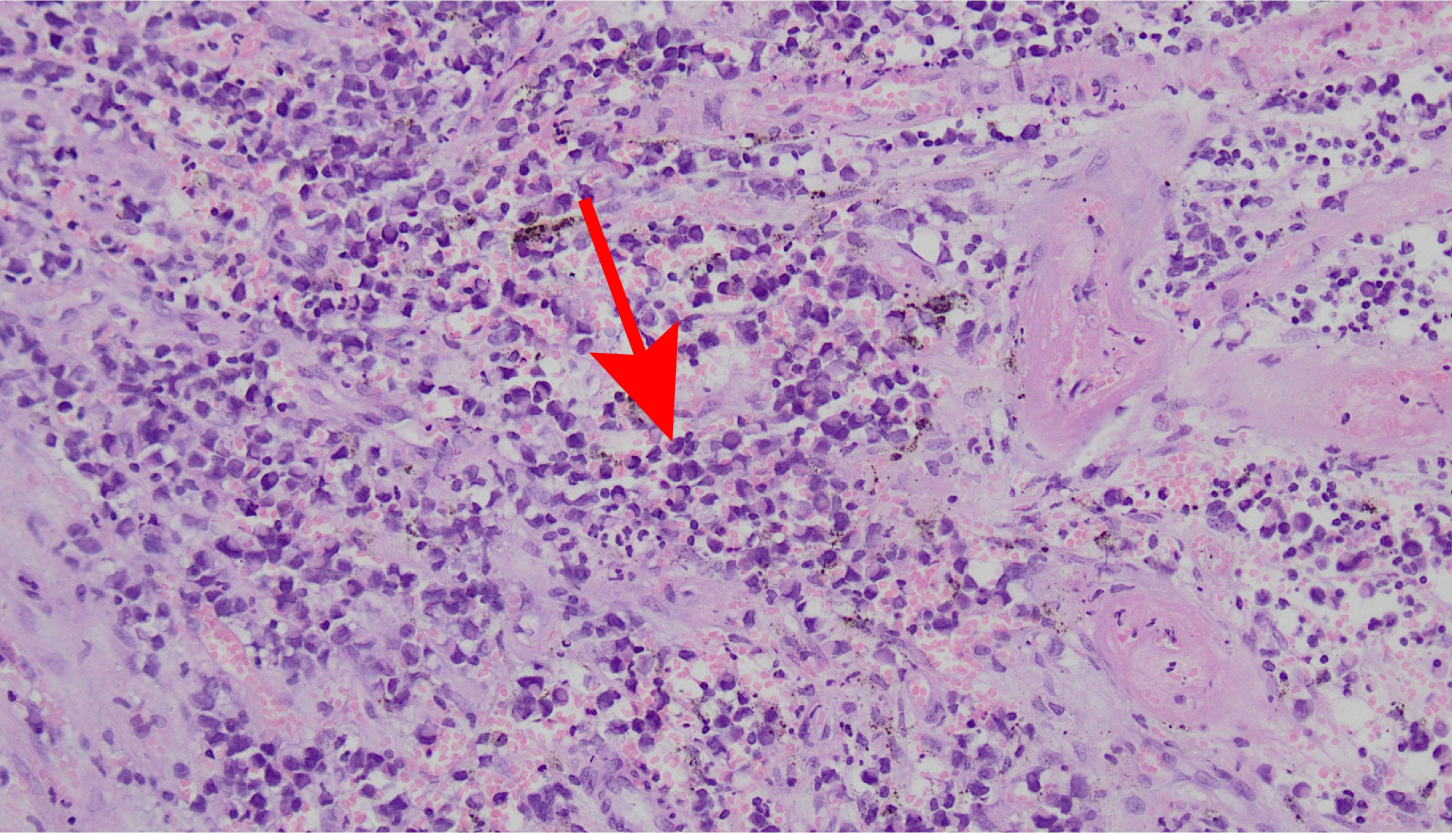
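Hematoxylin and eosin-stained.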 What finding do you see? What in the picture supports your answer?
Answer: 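Loose, dyscohesive cells spread between pink fibrous stroma. Cells lie around and between thick-walled blood vessels on the right.
Infiltration of surrounding tissue.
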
